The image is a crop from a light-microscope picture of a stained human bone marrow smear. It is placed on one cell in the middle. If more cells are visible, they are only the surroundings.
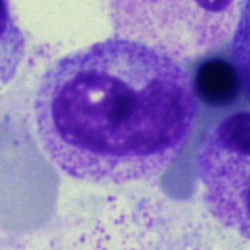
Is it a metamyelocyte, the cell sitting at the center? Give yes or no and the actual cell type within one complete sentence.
Yes, the cell positioned in the middle is a metamyelocyte.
